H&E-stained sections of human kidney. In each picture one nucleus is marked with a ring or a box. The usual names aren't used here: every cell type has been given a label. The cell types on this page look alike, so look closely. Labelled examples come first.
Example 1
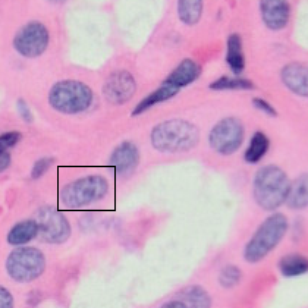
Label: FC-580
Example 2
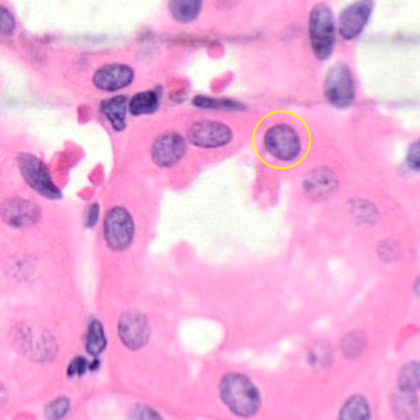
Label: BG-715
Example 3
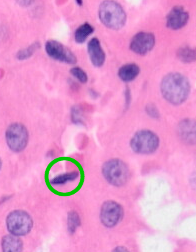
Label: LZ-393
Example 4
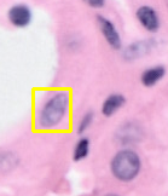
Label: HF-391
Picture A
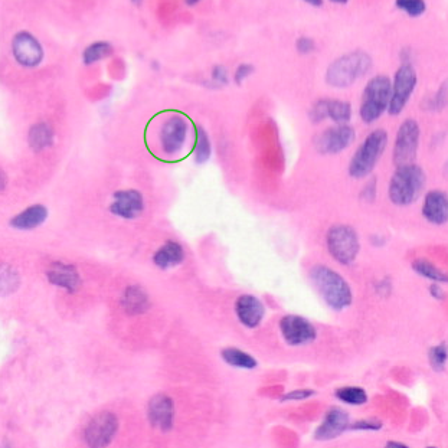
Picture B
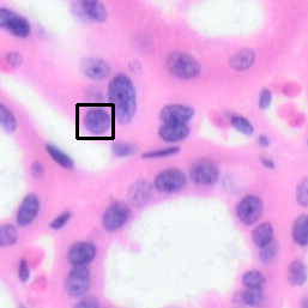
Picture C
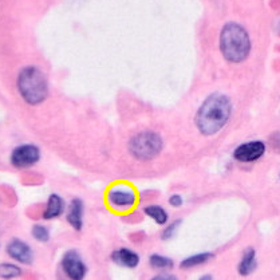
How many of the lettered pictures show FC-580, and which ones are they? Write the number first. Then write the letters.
1, namely B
